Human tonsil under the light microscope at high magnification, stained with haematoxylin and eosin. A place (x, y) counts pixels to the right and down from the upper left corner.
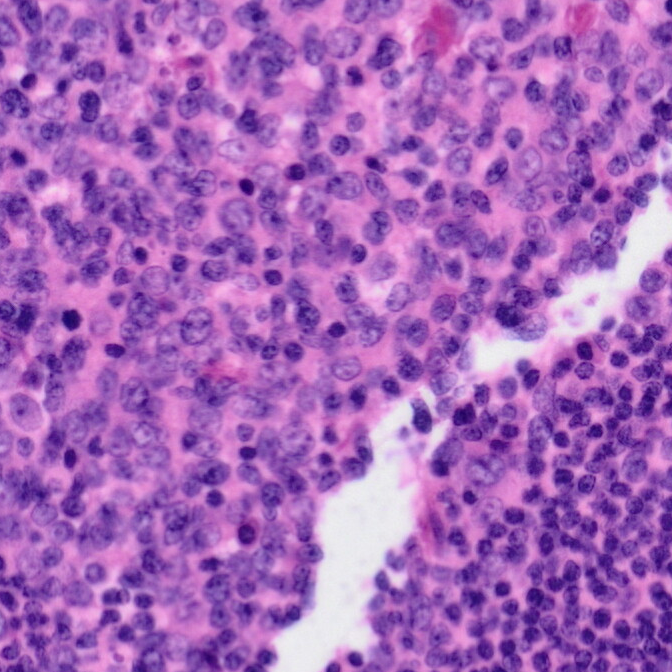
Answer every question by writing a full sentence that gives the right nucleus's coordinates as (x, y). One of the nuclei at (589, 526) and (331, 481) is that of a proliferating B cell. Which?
The nucleus that sits at (331, 481) is the nucleus of a proliferating B cell.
